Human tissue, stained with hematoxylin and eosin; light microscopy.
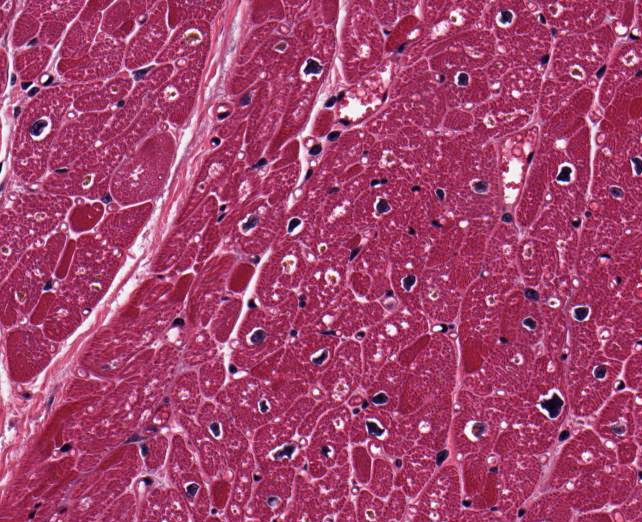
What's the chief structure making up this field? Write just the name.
myocardium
